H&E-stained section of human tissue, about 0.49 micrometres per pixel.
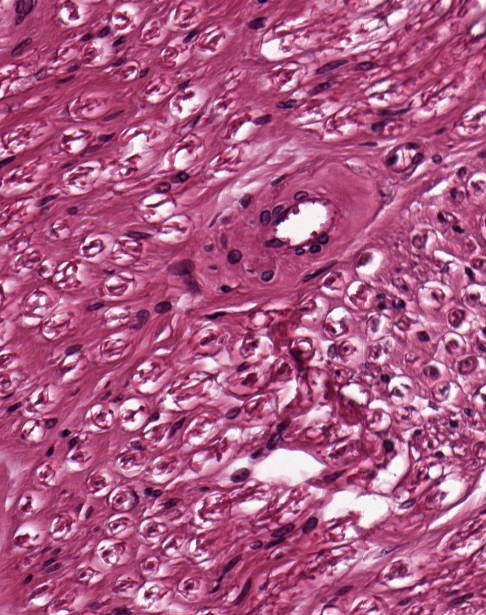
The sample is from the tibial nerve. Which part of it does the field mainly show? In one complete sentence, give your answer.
On this slide, the tissue part is known as nerve fascicle.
